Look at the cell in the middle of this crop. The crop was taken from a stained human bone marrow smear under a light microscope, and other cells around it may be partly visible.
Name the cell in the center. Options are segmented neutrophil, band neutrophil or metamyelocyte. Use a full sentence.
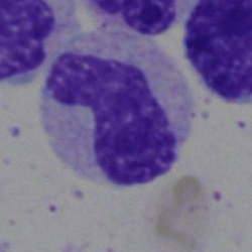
The cell under consideration, at the middle of the crop, is a band neutrophil.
